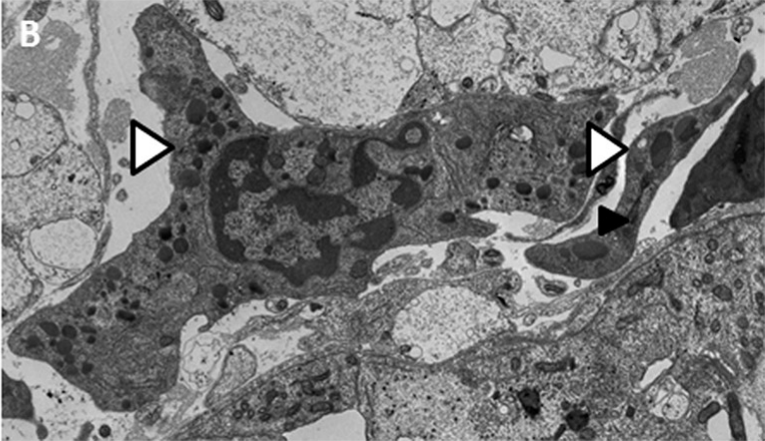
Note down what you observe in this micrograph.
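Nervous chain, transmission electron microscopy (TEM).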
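The central cell has a large, irregularly lobed nucleus with coarse clumps of dark chromatin. Its cytoplasm is fairly dense and scattered with many small, round, dark granules. The cell is drawn out into elongated extensions that slip into narrow pale spaces between the surrounding tissue. Around it lie paler profiles of neighbouring tissue with a lighter, finely granular texture.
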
